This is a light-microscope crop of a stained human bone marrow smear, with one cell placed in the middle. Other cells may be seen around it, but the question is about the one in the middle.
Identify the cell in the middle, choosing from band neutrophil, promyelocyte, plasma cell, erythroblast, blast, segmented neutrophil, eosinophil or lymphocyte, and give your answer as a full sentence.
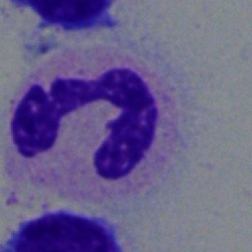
Whatever else lies nearby, the middle cell is a segmented neutrophil.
